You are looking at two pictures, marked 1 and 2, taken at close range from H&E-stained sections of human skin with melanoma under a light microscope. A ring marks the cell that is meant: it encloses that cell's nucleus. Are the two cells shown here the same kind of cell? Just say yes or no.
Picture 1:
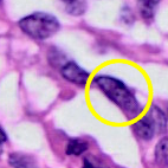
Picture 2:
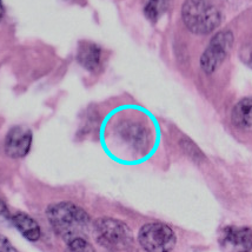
yes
